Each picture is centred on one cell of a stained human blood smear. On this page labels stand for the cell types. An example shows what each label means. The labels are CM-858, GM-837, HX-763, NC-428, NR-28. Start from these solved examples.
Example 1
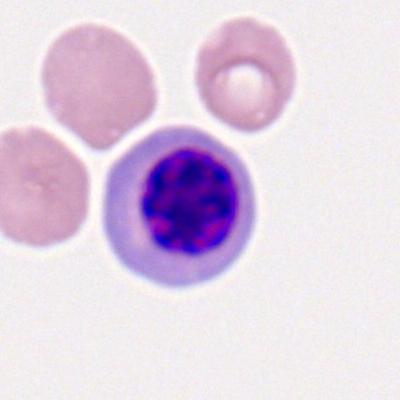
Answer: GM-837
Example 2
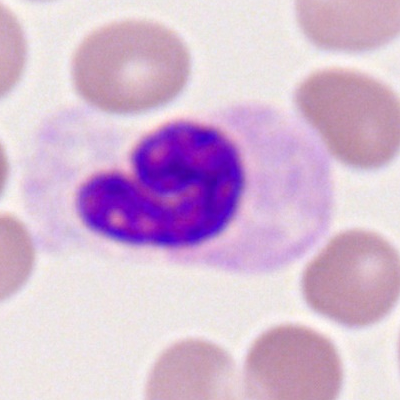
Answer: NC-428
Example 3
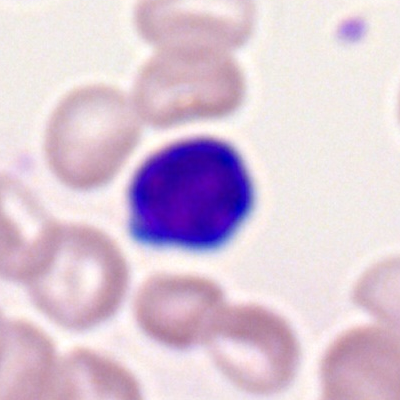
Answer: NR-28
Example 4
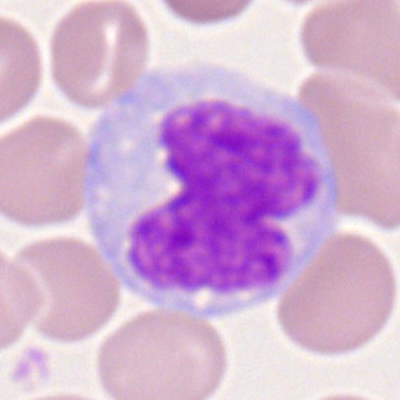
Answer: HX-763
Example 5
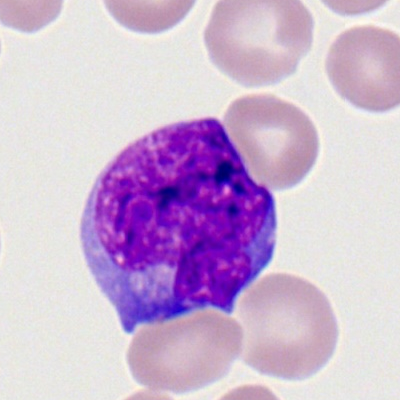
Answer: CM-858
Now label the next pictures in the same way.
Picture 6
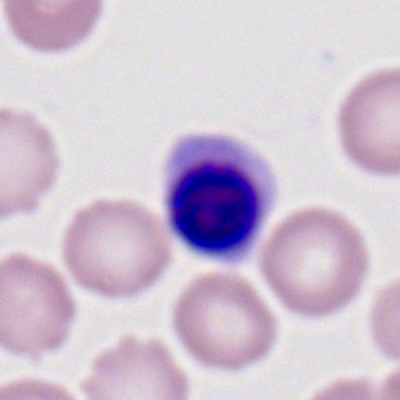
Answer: GM-837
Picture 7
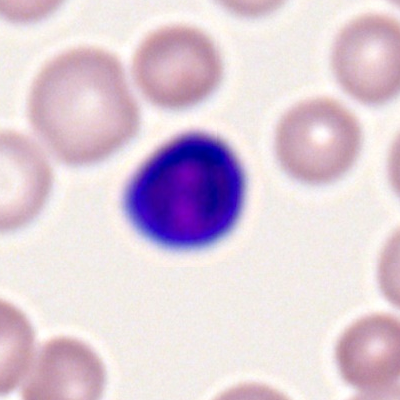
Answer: NR-28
